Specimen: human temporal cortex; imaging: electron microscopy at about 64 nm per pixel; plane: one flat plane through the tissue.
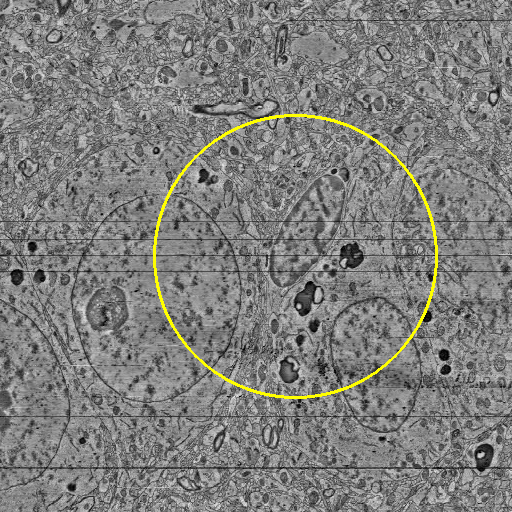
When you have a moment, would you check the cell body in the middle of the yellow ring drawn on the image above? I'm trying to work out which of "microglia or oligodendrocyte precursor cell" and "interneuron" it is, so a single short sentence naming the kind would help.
This cell body belongs to a microglial cell or oligodendrocyte precursor cell.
